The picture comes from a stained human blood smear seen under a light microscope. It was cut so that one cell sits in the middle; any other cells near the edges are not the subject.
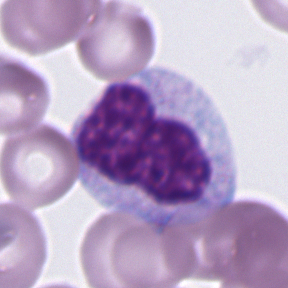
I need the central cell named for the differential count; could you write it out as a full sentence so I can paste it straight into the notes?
At the middle of the frame sits a band neutrophil.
